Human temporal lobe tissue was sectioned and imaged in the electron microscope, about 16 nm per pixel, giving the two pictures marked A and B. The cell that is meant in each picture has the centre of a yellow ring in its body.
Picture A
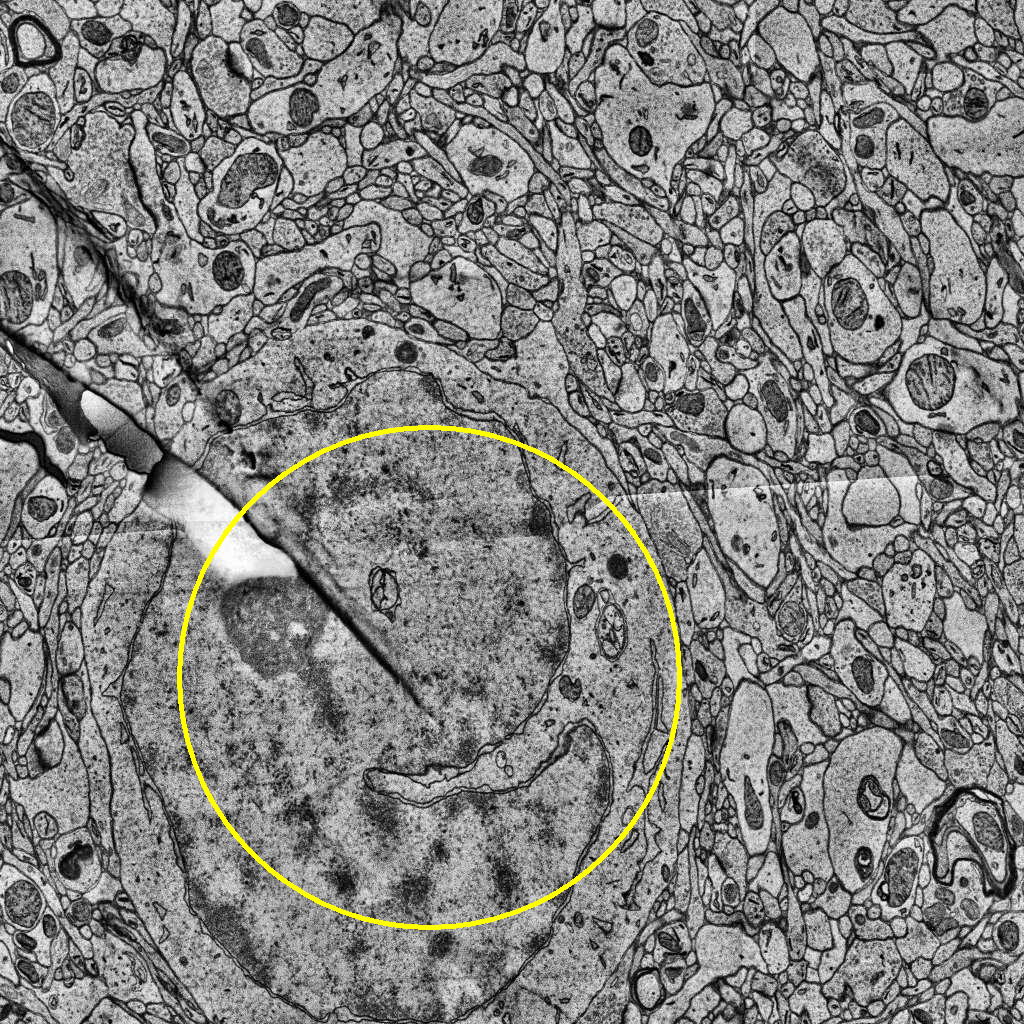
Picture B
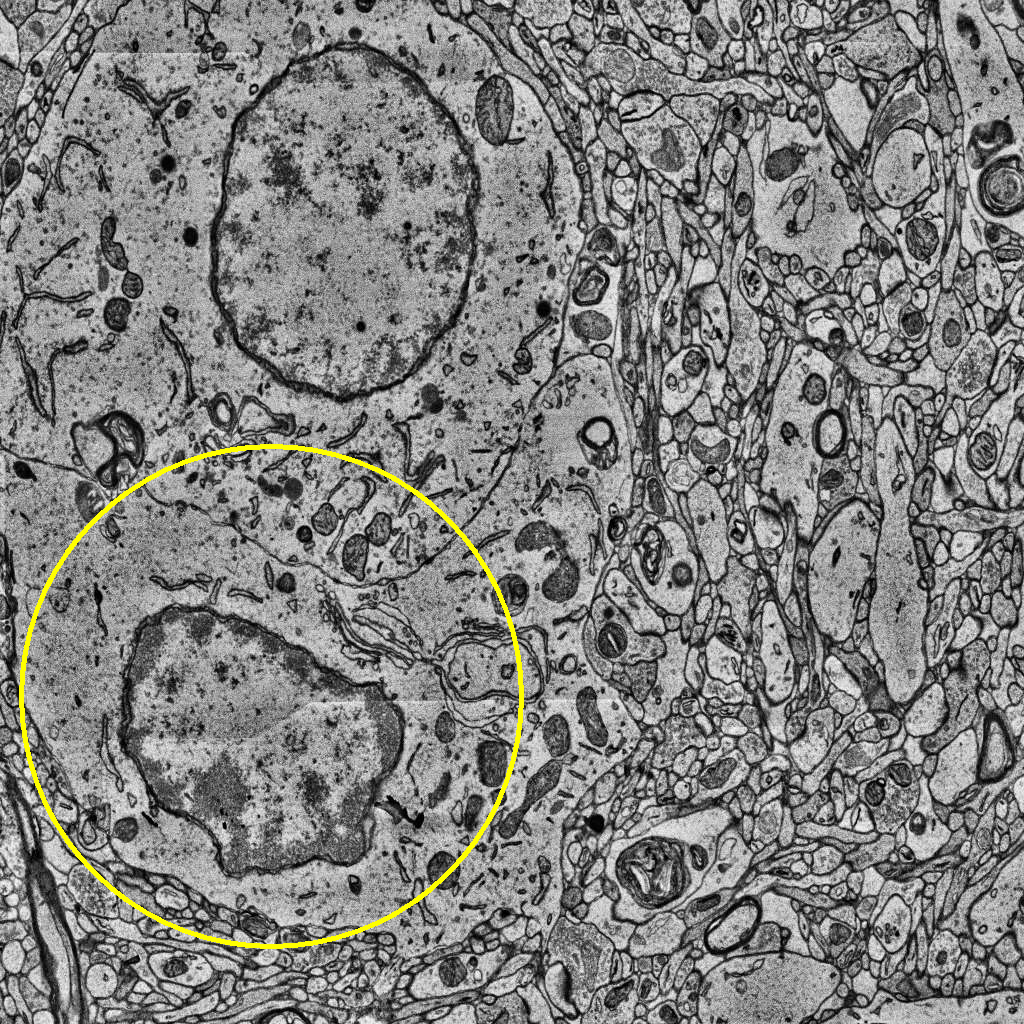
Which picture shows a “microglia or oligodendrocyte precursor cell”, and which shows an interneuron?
The cell in picture A is an interneuron, and the one in picture B is a “microglia or oligodendrocyte precursor cell”.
